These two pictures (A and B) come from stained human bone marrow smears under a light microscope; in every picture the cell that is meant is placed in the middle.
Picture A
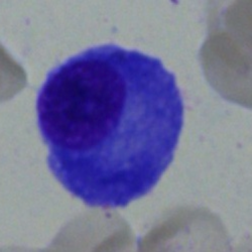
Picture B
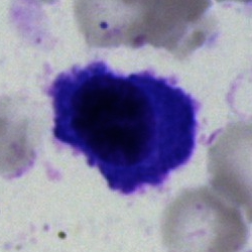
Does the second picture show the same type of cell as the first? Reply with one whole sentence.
Yes, both cells are plasma cells.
